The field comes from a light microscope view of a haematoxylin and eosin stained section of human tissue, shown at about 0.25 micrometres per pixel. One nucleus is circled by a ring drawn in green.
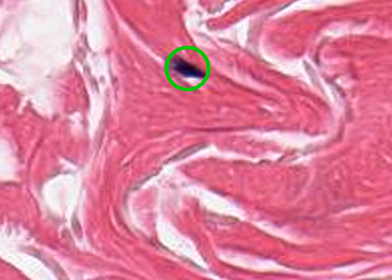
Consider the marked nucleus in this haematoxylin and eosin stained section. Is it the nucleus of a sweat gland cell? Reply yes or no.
no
